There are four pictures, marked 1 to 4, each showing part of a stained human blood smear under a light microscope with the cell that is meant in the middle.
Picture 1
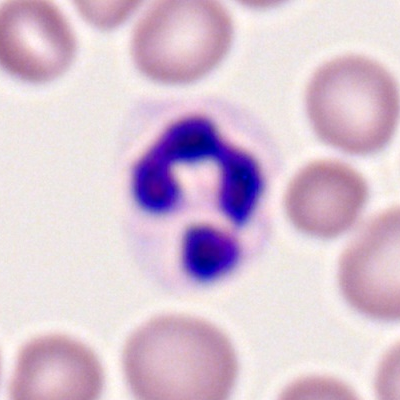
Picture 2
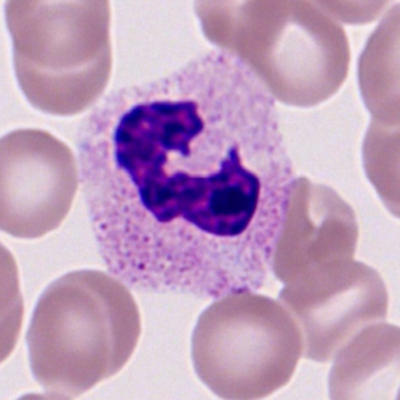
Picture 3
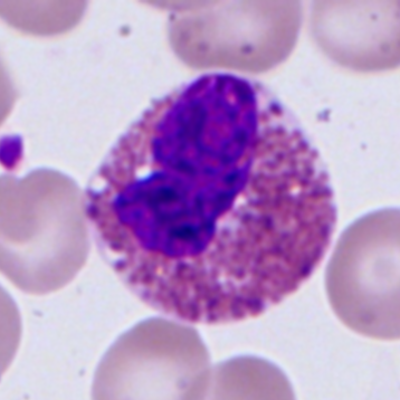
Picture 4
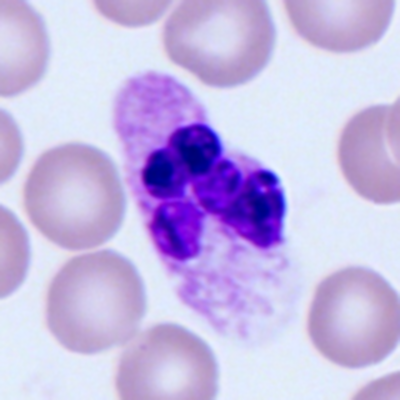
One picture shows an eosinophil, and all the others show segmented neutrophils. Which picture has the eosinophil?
3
